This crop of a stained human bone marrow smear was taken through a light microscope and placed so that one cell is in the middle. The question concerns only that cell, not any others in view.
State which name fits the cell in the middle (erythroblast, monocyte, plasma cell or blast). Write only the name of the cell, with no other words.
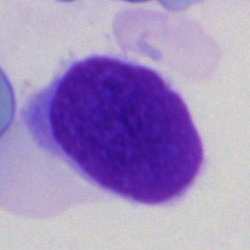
blast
